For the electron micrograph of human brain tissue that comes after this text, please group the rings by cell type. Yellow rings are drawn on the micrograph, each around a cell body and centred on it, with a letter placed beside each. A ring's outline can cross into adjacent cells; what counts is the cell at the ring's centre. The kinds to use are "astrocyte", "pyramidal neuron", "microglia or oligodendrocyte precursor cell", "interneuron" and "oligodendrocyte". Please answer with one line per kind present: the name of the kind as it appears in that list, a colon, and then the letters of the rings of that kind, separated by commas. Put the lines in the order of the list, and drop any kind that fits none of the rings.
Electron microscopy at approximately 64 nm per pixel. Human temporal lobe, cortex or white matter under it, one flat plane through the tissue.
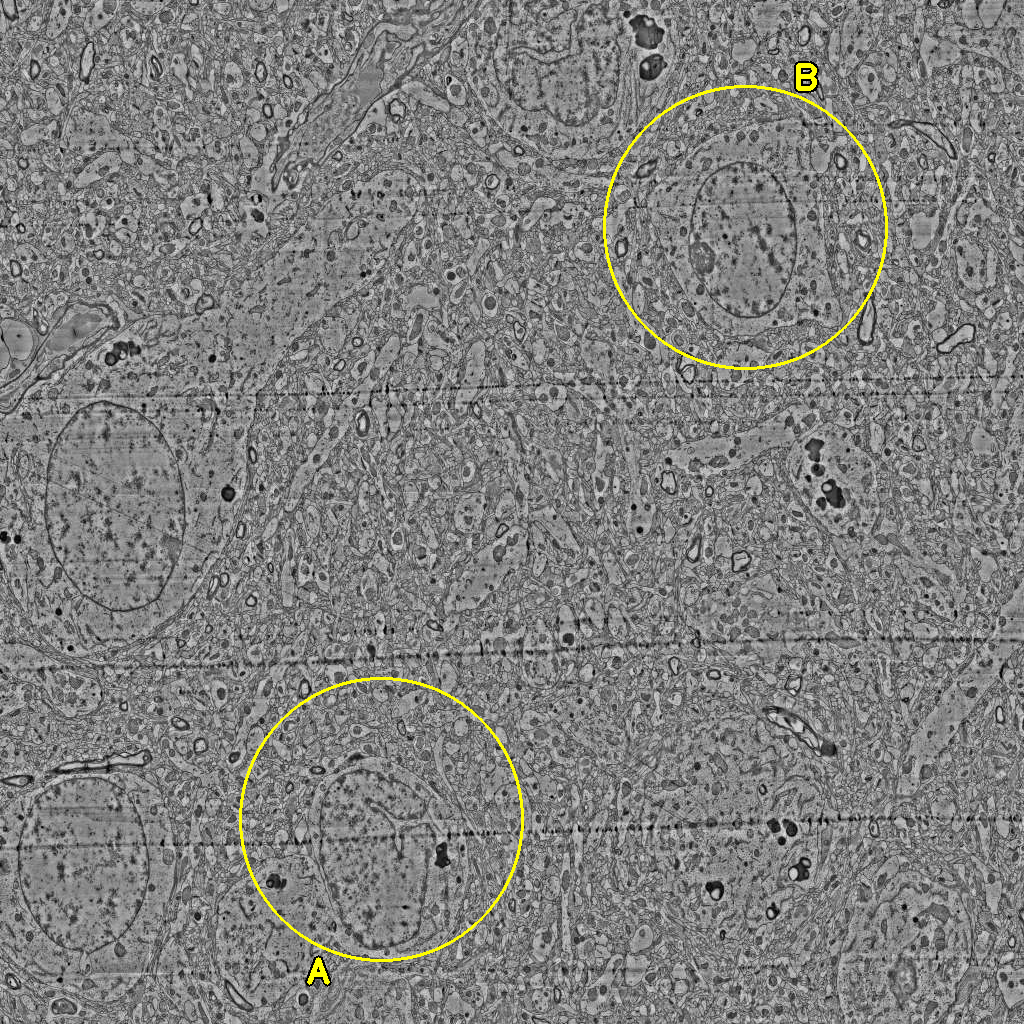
pyramidal neuron: B
interneuron: A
